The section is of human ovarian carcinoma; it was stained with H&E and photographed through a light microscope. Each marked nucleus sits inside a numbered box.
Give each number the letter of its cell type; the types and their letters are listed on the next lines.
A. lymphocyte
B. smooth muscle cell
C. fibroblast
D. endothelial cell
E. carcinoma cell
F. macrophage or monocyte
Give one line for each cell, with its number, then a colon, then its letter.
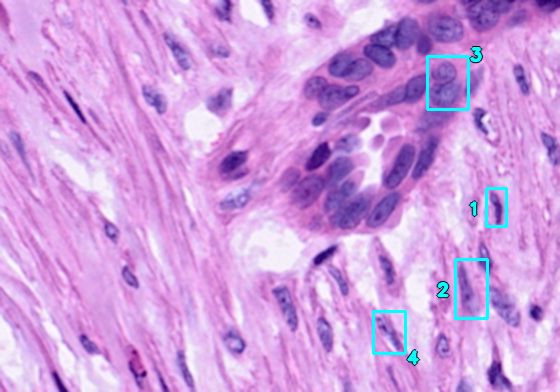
1: C
2: C
3: E
4: C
